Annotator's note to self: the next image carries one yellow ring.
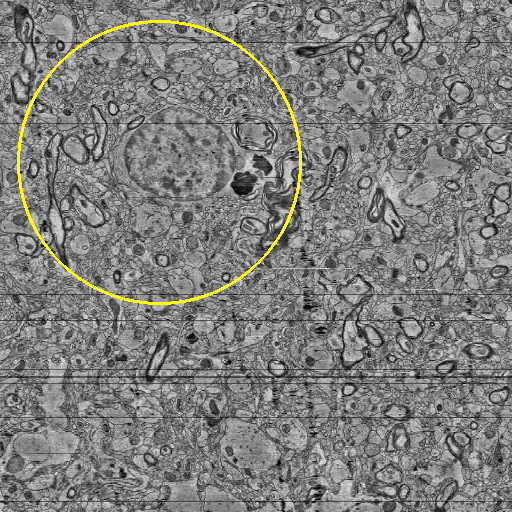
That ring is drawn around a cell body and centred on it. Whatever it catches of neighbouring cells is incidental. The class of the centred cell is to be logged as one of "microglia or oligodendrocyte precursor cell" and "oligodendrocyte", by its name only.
oligodendrocyte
